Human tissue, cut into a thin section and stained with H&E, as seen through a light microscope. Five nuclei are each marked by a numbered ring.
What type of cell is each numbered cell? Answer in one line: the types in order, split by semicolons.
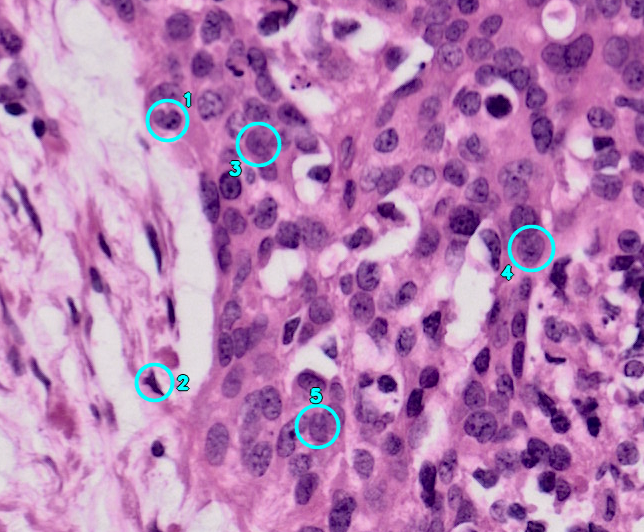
macrophage or monocyte; fibroblast; carcinoma cell; carcinoma cell; carcinoma cell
